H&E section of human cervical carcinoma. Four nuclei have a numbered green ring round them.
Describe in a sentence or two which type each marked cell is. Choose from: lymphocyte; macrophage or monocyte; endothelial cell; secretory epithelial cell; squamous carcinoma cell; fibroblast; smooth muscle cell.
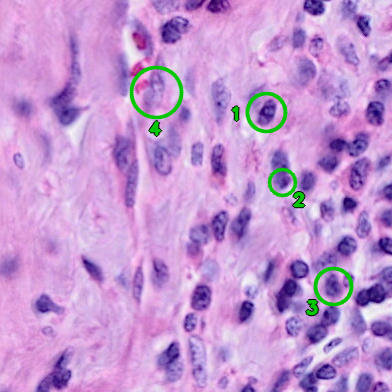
Cells 1, 2 and 3 are lymphocytes. Cell 4 is an endothelial cell.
